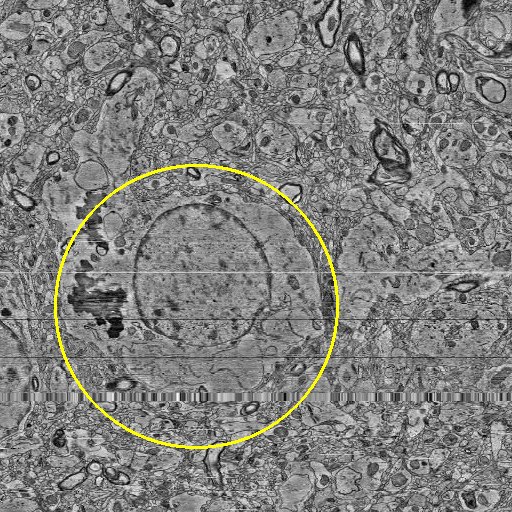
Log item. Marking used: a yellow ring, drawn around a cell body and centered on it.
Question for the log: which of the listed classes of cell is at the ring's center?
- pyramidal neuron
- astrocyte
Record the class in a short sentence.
At the center of the ring lies an astrocyte.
